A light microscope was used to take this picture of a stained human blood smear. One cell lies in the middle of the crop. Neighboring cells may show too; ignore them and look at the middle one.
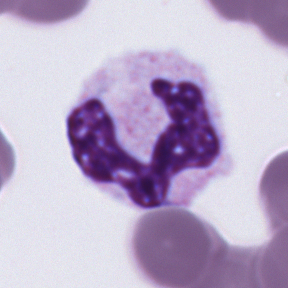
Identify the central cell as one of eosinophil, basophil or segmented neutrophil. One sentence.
In this crop, the cell at the very middle is a segmented neutrophil.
